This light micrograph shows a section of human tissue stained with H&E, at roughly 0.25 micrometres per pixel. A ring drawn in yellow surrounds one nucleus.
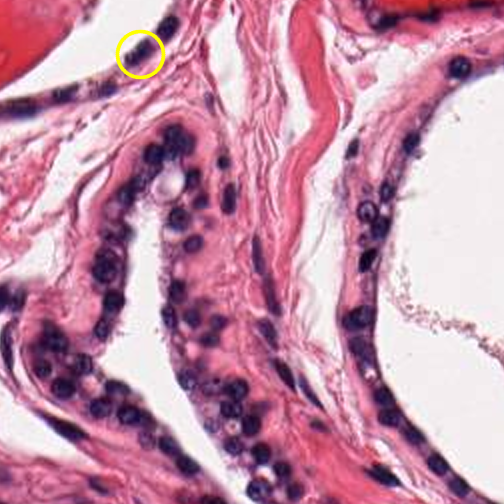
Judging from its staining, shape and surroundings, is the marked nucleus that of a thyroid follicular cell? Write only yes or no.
yes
